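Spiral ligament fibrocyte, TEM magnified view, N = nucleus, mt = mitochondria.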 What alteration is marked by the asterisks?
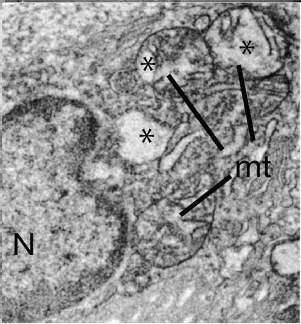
Cristae loss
